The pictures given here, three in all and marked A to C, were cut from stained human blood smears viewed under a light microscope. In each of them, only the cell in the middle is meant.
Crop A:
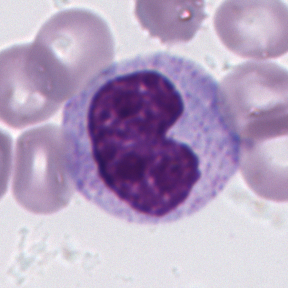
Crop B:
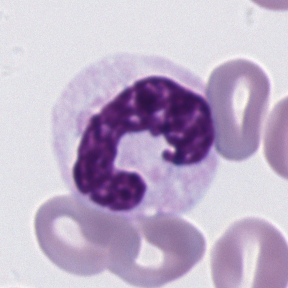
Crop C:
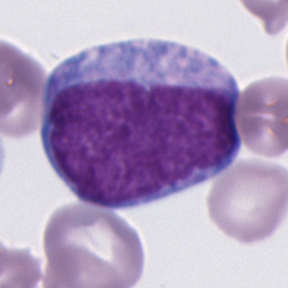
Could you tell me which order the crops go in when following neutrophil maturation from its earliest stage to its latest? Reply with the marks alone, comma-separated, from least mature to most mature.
C, A, B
